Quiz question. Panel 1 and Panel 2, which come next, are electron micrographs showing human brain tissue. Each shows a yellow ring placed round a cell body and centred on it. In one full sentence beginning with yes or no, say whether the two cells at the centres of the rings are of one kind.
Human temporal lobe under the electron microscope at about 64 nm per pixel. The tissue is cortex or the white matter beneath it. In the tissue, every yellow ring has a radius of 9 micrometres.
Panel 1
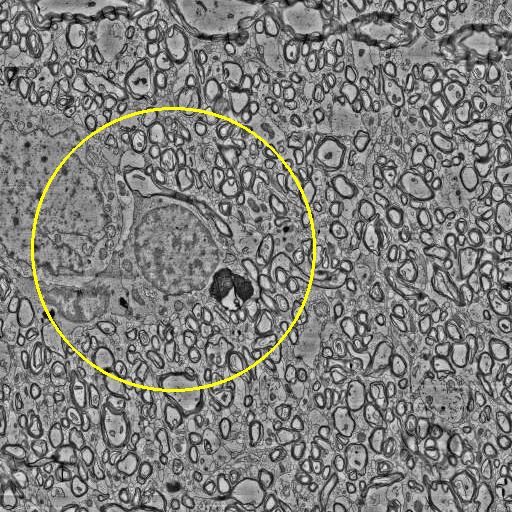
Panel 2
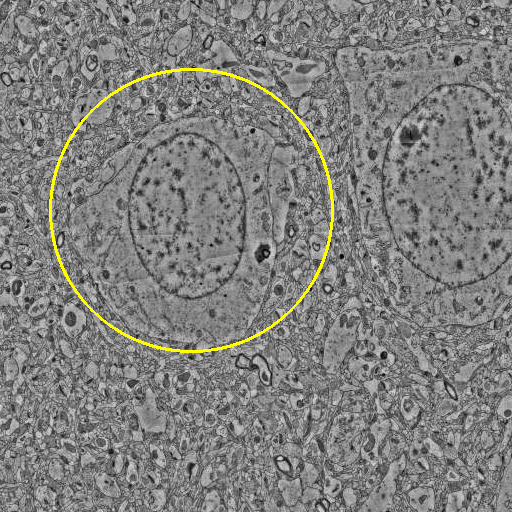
No, Panel 1 and Panel 2 show two kinds of cell at the centre of the ring.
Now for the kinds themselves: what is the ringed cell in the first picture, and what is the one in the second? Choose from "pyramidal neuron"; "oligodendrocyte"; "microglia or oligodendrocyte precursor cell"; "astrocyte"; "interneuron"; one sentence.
Here the first cell is an oligodendrocyte and the second cell is a pyramidal neuron.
